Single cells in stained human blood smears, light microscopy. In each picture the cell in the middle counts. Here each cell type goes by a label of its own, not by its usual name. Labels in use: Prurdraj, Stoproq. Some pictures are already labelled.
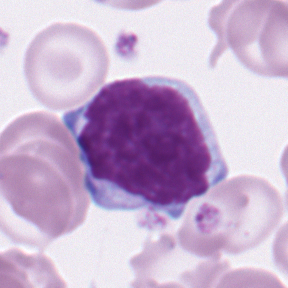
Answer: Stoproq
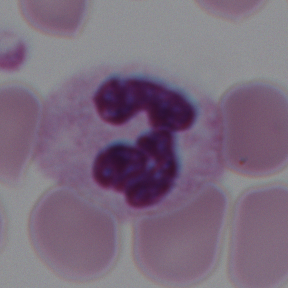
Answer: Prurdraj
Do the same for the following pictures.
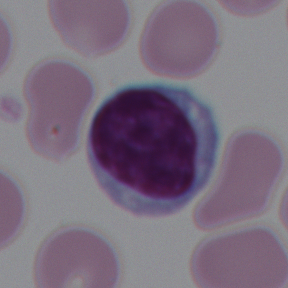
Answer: Stoproq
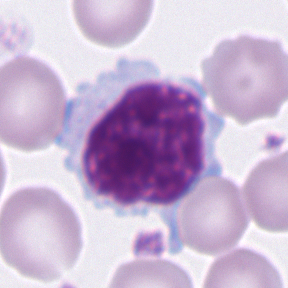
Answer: Stoproq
